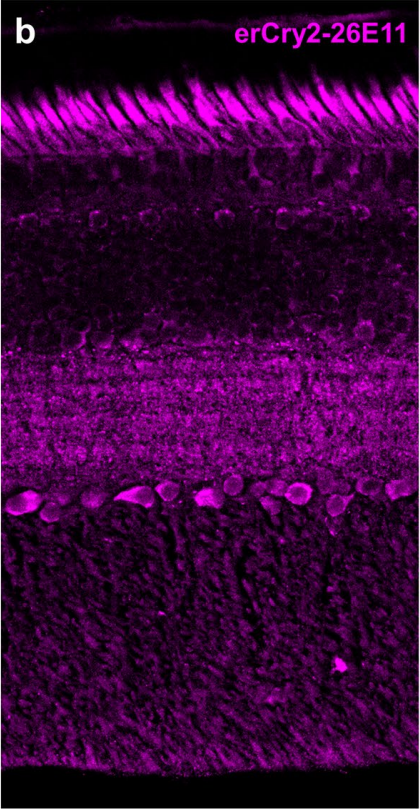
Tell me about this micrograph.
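This vertical section of bird retina shows strong label in the photoreceptor inner segments, which form a bright palisade of elongated, tapered profiles at the top. Below, the nuclear layers are only weakly and patchily labelled, while the broad inner plexiform layer shows a fine, granular, stratified label. A single row of rounded ganglion cell layer cell bodies is brightly outlined near the bottom. Beneath them lies the fibre layer with faint vertical streaks.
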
